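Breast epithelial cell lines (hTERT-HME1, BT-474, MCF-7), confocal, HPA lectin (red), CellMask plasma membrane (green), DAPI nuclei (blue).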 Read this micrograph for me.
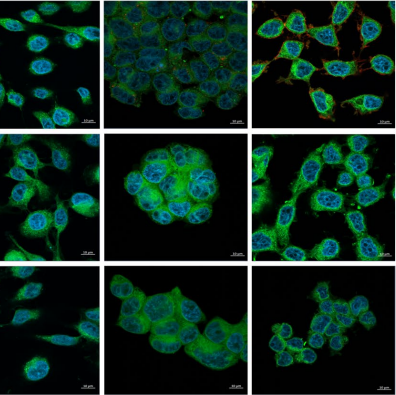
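In some fields the cells are spread and separate, while in others they pack tightly into compact clusters with shared borders. In a few fields fine red puncta gather along the cell edges and between neighbouring cells, whereas in most fields no red is seen at all.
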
